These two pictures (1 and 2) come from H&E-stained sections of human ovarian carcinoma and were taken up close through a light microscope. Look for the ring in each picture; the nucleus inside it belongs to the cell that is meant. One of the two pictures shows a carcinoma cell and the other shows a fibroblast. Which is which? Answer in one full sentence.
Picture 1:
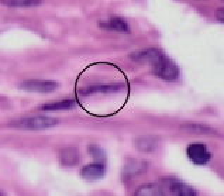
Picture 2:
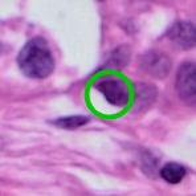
It is picture 1 that shows a fibroblast, and picture 2 that shows a carcinoma cell.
